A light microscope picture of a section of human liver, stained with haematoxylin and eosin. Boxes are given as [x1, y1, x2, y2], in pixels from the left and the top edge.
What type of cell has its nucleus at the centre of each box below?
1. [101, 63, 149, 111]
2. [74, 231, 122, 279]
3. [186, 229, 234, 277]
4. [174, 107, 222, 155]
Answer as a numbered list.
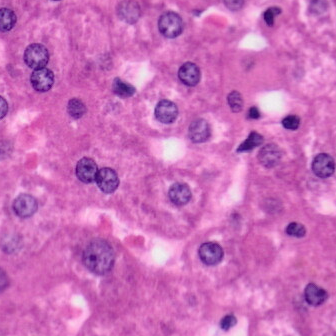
1. endothelial cell
2. hepatocyte
3. hepatocyte
4. hepatocyte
